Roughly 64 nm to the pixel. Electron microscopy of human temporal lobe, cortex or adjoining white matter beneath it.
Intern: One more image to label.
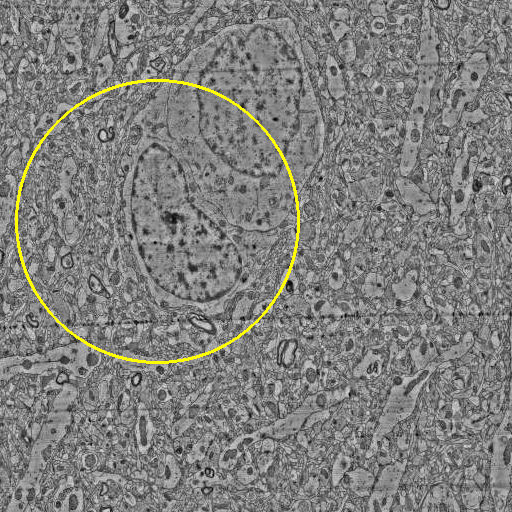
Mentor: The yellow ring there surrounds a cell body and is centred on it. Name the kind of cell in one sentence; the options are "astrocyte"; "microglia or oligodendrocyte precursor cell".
The ring marks the cell body of a microglial cell or oligodendrocyte precursor cell.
